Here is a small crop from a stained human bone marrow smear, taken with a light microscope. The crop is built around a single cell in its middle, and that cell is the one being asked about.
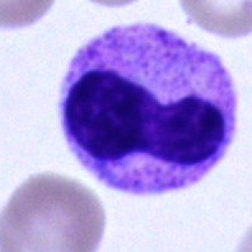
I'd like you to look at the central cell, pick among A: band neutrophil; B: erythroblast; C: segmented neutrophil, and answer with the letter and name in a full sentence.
Option A correctly names the cell in the middle as a band neutrophil.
